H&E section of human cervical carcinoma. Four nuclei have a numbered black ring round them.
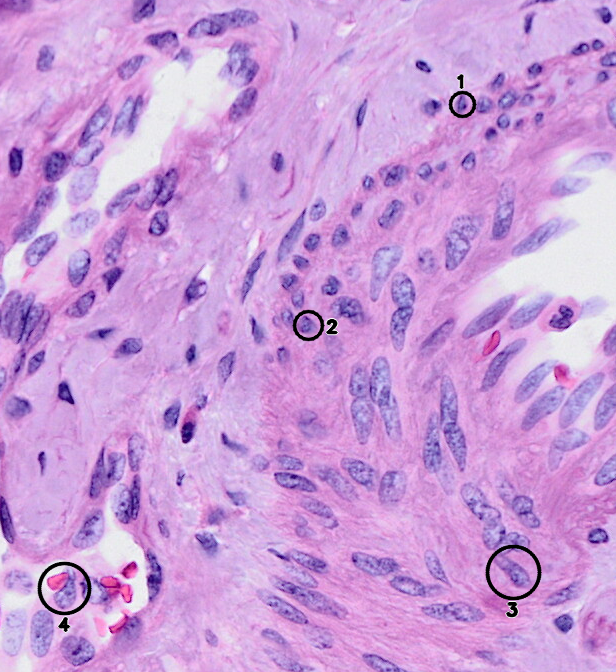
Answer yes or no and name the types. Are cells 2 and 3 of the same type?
Yes, cells 2 and 3 are alike in being smooth muscle cells.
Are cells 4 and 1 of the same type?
No, cell 4 is an endothelial cell, and cell 1 is, by contrast, a smooth muscle cell.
